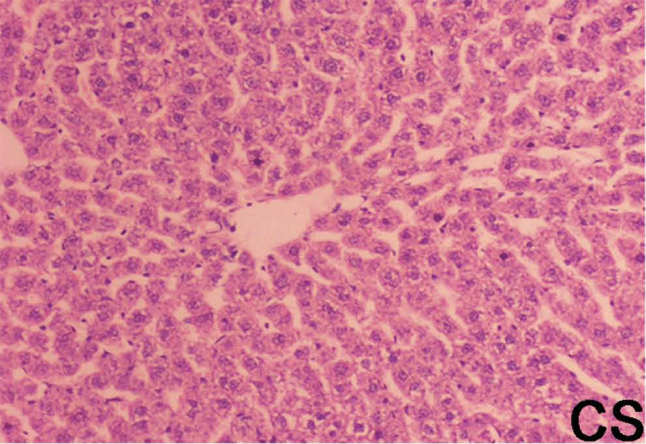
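This is liver, with hepatocytes arranged in cords radiating from a central vessel seen as a pale elongated space. The cells are polygonal with finely granular purplish-pink cytoplasm and round, centrally placed purple nuclei. Between the cords run narrow pale channels, the sinusoids, with a few small dark elongated nuclei lining them. The cytoplasm looks even without clear holes, and the cords keep an orderly pattern across the field, so the liver architecture appears regular, with no fat vacuoles in the hepatocytes.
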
